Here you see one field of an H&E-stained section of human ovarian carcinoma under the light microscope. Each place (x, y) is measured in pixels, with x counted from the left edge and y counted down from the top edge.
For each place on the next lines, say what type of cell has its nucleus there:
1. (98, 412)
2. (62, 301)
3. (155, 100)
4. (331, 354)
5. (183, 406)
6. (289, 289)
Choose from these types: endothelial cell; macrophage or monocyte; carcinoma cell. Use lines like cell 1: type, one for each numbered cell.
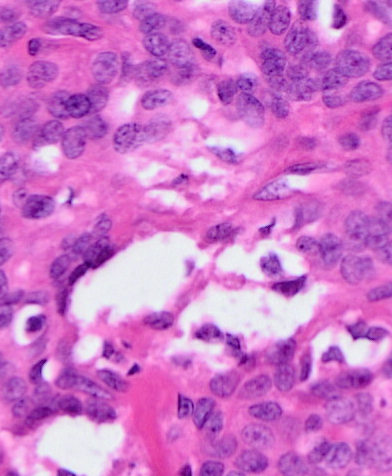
cell 1: carcinoma cell
cell 2: carcinoma cell
cell 3: macrophage or monocyte
cell 4: macrophage or monocyte
cell 5: macrophage or monocyte
cell 6: carcinoma cell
